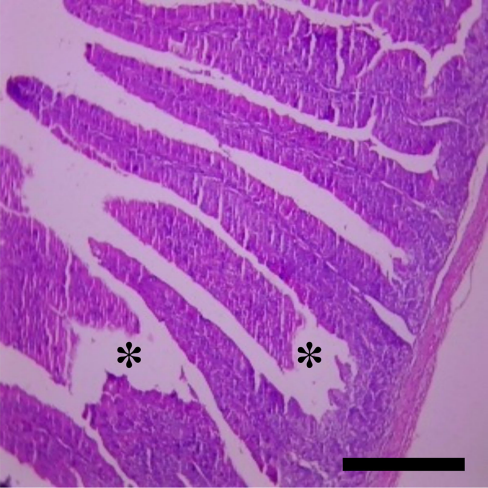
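A section of small intestine shows long, slender villi stained purple running obliquely across the field, with a thin pink muscular wall along one edge. Wide empty spaces separate many villi, and several villi are broken off or have ragged, shortened ends, showing disruption of the villous lining.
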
